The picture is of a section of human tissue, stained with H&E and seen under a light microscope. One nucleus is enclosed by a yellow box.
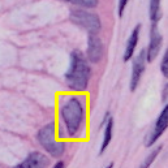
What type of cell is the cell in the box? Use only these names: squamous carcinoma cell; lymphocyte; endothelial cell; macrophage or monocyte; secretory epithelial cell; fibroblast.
secretory epithelial cell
